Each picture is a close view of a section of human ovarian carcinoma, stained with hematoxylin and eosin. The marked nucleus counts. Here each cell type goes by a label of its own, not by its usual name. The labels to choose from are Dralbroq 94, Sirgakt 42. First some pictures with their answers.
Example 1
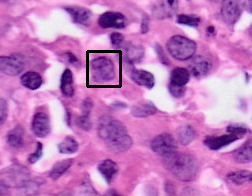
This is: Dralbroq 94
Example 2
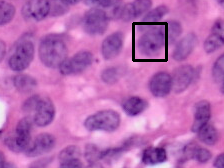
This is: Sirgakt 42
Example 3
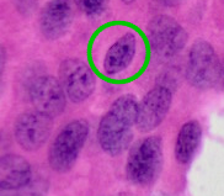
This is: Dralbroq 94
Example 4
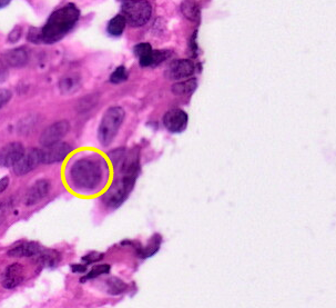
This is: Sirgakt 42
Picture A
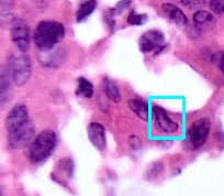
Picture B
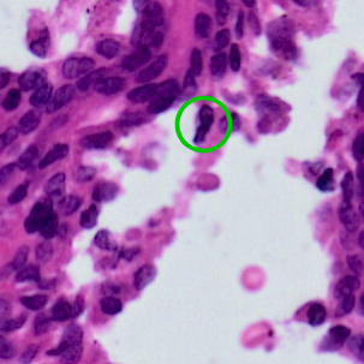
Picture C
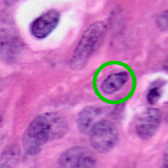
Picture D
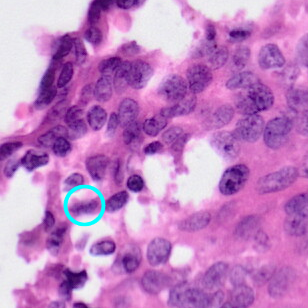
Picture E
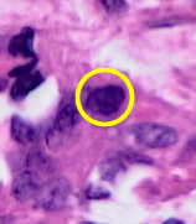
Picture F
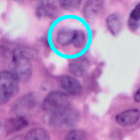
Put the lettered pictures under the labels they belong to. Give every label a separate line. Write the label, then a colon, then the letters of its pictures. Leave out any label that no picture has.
Dralbroq 94: A, B, C, F
Sirgakt 42: D, E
